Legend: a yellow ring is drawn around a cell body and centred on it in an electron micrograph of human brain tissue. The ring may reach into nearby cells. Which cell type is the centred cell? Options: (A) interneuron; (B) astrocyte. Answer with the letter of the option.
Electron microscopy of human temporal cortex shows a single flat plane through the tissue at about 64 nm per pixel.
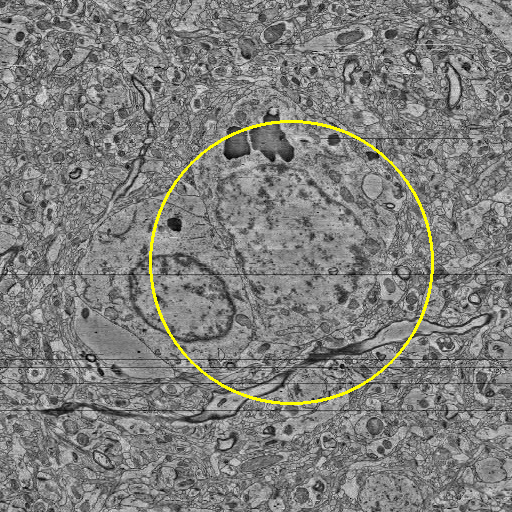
A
